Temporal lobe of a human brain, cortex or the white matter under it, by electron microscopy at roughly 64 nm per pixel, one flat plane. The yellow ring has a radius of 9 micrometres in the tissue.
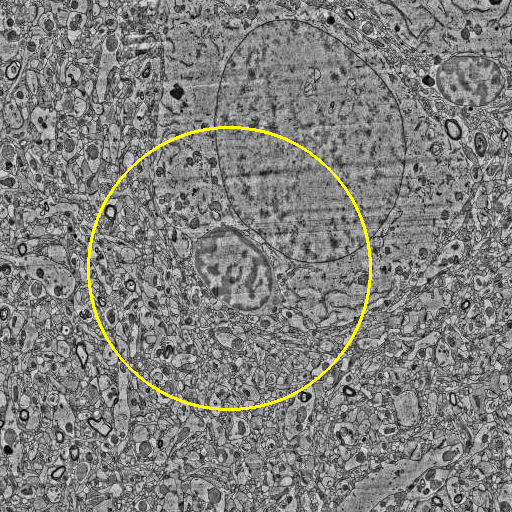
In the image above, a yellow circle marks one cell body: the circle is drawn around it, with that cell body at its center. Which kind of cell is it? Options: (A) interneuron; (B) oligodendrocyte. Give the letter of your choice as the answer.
B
